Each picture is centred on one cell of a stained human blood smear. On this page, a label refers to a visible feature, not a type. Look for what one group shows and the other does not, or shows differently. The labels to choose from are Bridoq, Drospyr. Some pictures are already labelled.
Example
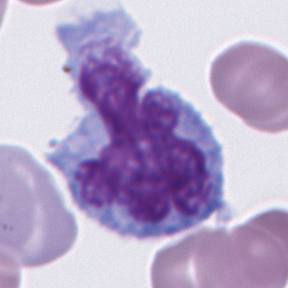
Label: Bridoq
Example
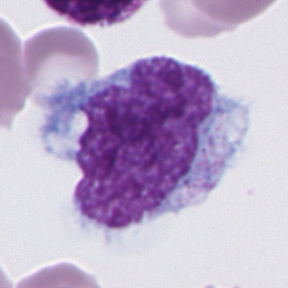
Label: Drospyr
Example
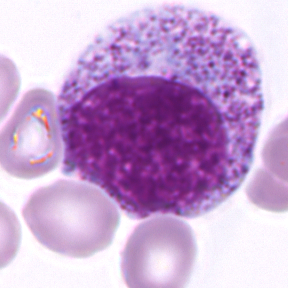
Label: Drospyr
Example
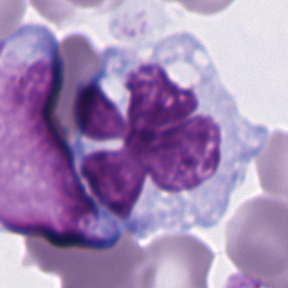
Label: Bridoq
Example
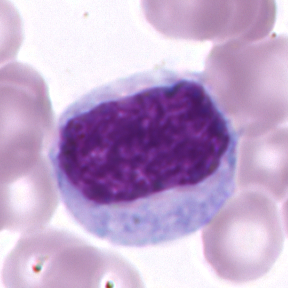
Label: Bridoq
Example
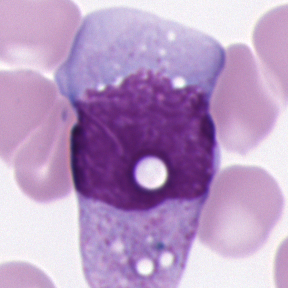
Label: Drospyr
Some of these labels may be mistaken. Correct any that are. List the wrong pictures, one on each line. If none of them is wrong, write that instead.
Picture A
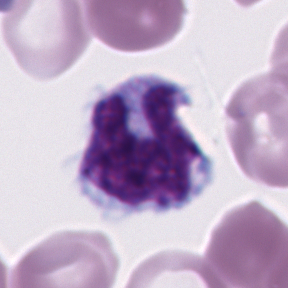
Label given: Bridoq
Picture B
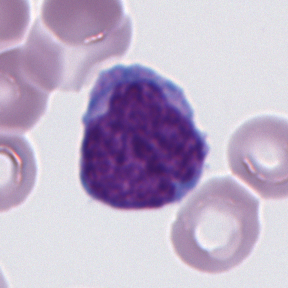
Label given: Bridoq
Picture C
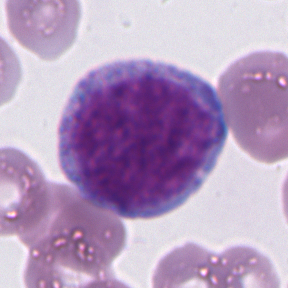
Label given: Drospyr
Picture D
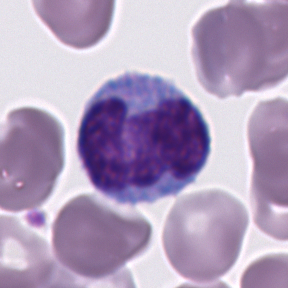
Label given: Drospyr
Wrong: C (Drospyr); correct: Bridoq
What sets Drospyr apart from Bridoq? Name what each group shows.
Drospyr, many visible granules; Bridoq, no visible granules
